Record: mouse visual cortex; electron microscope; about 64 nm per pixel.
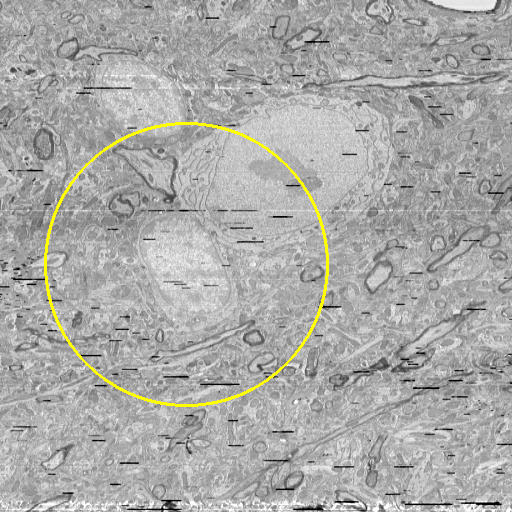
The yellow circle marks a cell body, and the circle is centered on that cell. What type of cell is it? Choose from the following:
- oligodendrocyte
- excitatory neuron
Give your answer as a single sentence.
This cell body belongs to an oligodendrocyte.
